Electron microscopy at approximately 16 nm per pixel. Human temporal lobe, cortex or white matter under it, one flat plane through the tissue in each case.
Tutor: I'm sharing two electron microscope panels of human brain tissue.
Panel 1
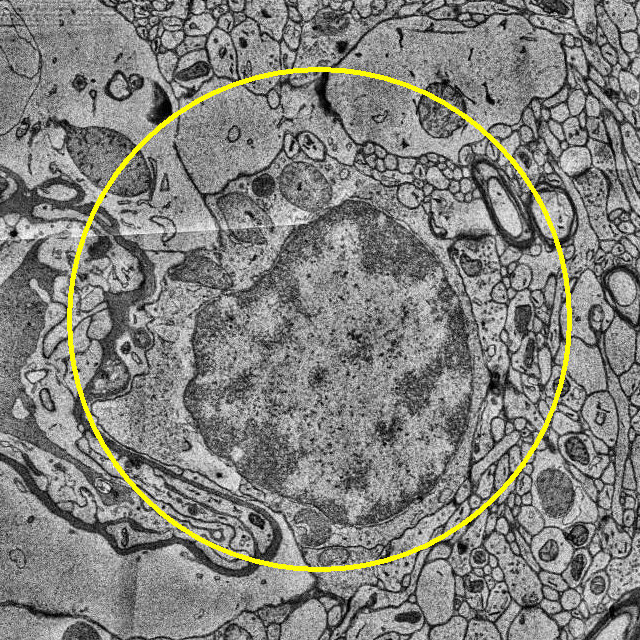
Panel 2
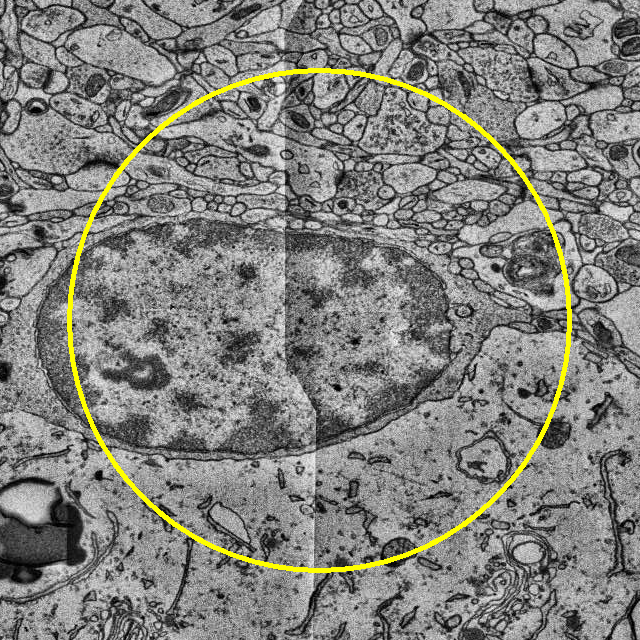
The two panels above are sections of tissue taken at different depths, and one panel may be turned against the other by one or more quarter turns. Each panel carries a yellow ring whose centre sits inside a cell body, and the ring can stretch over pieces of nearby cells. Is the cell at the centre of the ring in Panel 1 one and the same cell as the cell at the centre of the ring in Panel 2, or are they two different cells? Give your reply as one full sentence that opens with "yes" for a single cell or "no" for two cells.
No, in this micrograph the two rings mark two different cells.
